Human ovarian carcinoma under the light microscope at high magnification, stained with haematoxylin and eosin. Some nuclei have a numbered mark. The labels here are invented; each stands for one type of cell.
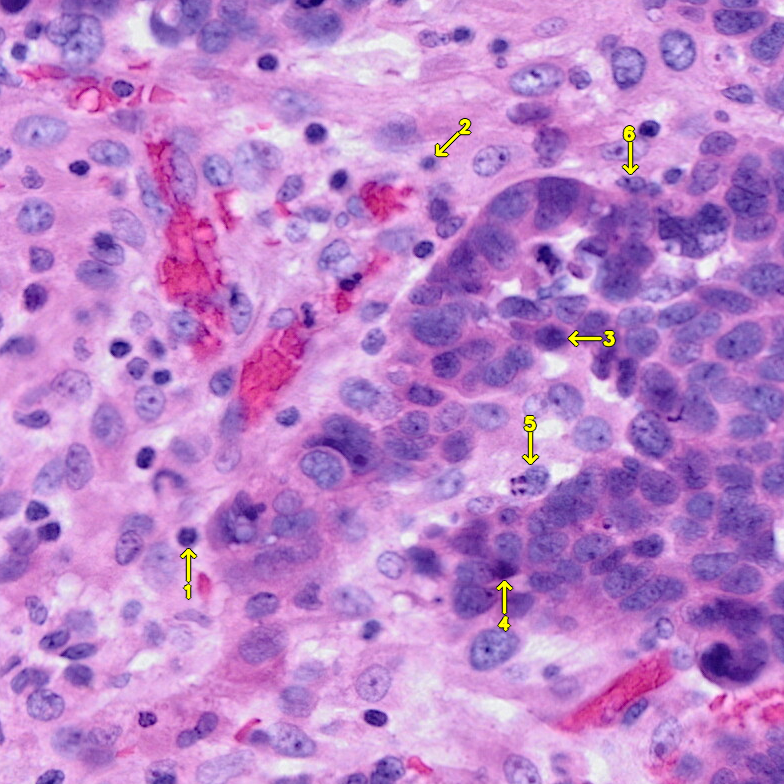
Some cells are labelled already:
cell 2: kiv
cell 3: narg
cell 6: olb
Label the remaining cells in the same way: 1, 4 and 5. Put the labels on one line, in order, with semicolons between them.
kiv; narg; olb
